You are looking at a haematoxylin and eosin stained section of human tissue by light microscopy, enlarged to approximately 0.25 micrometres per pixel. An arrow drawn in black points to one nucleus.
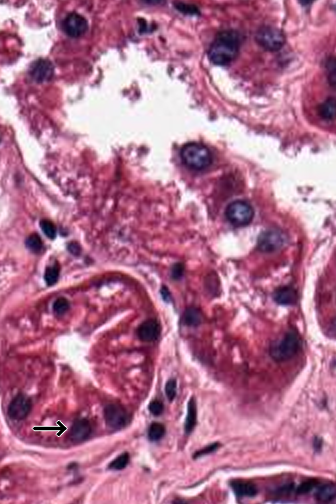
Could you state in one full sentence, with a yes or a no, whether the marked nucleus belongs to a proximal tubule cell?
Yes, the marked nucleus is the nucleus belonging to a proximal tubule cell.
